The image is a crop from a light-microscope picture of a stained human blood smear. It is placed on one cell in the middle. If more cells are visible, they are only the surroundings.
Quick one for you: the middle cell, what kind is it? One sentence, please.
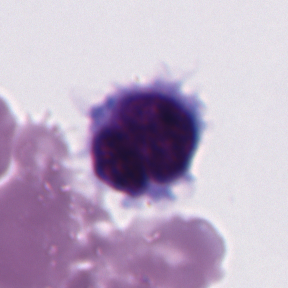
Standing at the centre of this crop is a hairy cell.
